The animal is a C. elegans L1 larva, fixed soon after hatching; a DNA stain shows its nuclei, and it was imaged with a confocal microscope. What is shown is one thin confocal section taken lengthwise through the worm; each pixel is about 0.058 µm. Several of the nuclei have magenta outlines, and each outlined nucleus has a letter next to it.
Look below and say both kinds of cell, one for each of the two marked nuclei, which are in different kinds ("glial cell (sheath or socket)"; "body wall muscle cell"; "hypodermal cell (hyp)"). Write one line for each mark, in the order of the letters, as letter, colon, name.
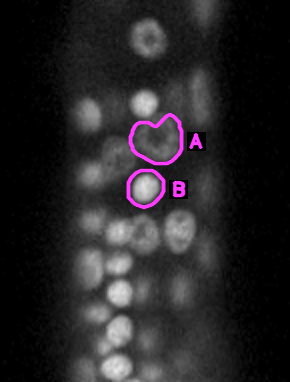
A: hypodermal cell (hyp)
B: glial cell (sheath or socket)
